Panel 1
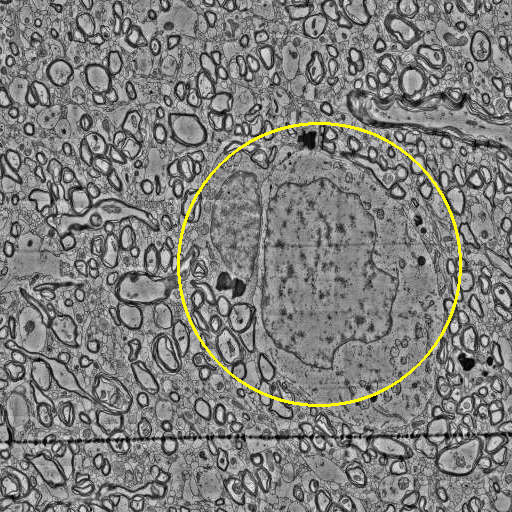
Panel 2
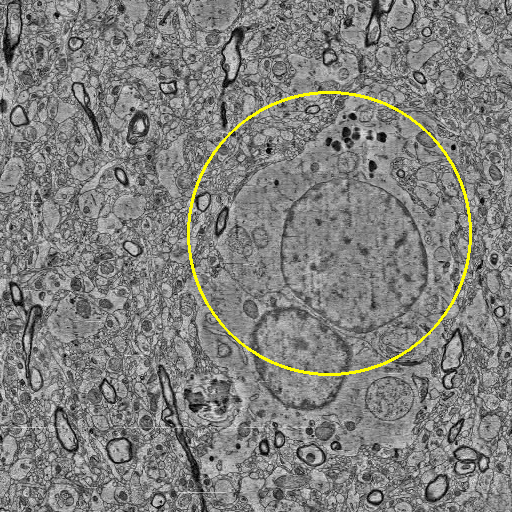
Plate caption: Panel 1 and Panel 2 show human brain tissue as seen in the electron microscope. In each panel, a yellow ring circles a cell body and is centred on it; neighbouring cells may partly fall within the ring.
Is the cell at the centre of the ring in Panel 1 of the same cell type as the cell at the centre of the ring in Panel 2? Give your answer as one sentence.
No, the two cells are of two types.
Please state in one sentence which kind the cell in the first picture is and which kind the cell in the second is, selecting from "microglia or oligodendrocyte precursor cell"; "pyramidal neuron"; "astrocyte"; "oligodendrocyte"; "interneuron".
The first ringed cell is a pyramidal neuron, the second ringed cell an astrocyte.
